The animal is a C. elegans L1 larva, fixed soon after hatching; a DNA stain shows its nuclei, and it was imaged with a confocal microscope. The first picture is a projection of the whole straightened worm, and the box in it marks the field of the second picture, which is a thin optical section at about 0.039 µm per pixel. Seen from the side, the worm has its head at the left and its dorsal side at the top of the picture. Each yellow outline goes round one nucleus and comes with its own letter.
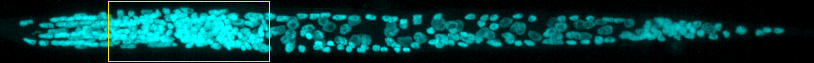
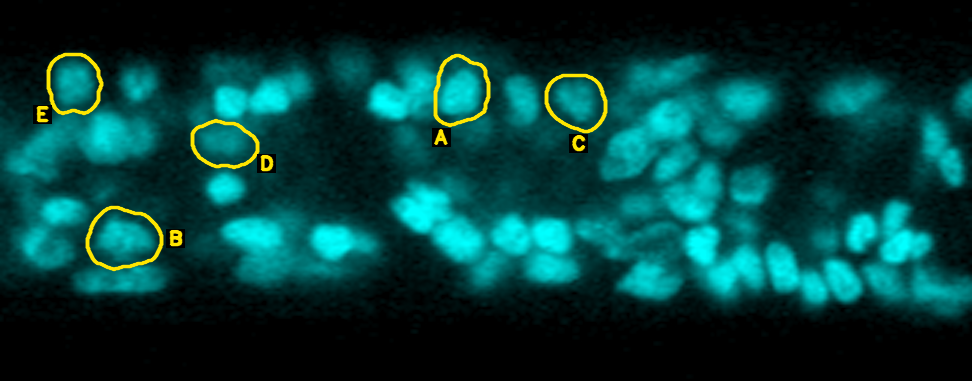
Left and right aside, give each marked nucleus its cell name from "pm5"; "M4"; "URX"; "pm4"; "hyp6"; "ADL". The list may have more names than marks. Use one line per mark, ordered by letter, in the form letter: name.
A: URX
B: pm4
C: ADL
D: M4
E: hyp6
